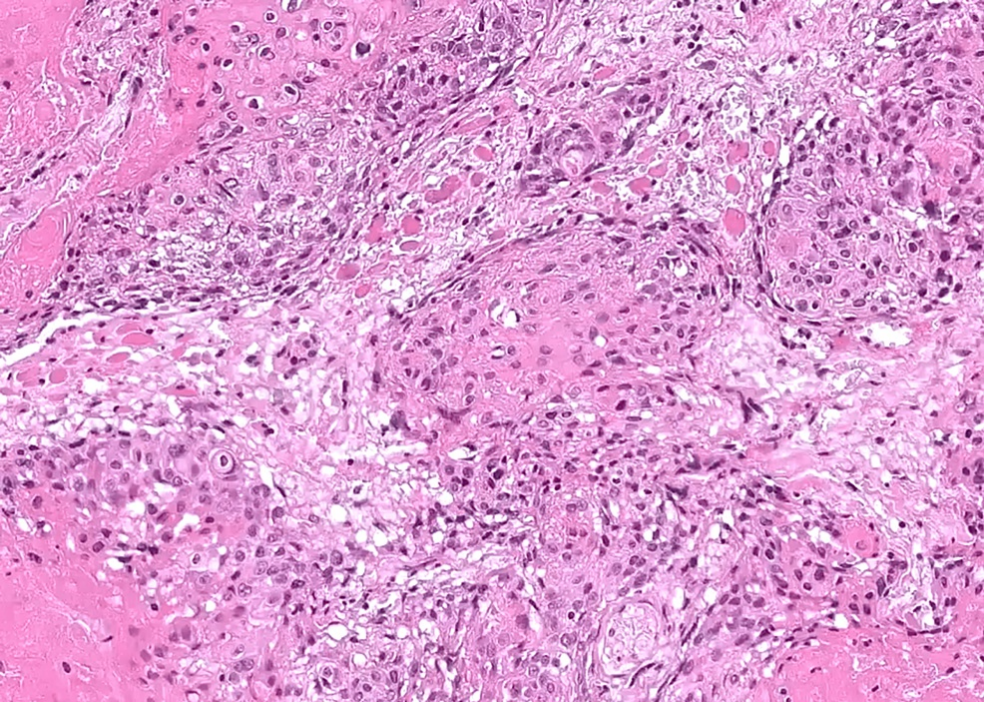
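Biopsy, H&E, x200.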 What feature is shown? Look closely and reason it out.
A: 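Nests of keratinisation. Homogeneous bright pink keratin-like masses lie at the left and lower edges. Small concentric pink whorls sit among the tumour cells.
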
